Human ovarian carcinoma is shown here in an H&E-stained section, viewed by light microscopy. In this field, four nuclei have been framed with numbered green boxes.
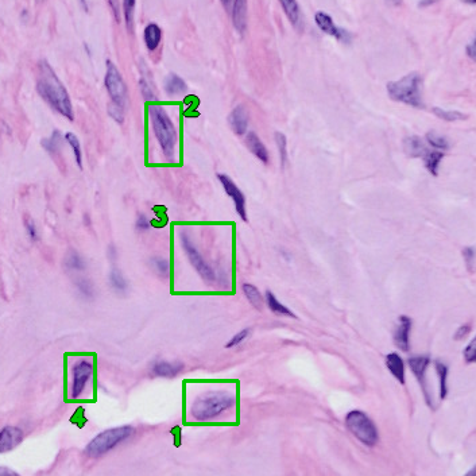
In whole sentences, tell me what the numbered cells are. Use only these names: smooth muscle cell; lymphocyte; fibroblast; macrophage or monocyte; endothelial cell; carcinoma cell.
Cell 1 is an endothelial cell, cell 2 is a smooth muscle cell, cell 3 is a smooth muscle cell and cell 4 is an endothelial cell.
